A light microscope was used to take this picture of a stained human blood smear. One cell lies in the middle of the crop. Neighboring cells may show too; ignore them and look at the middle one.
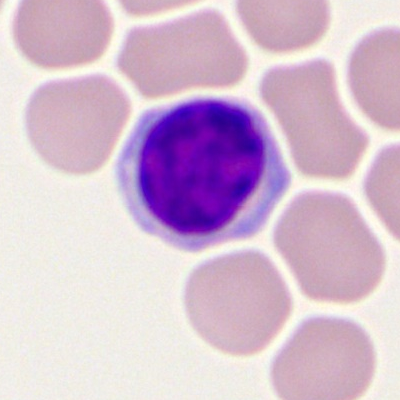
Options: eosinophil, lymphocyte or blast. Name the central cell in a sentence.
The identification for the central cell is a lymphocyte.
